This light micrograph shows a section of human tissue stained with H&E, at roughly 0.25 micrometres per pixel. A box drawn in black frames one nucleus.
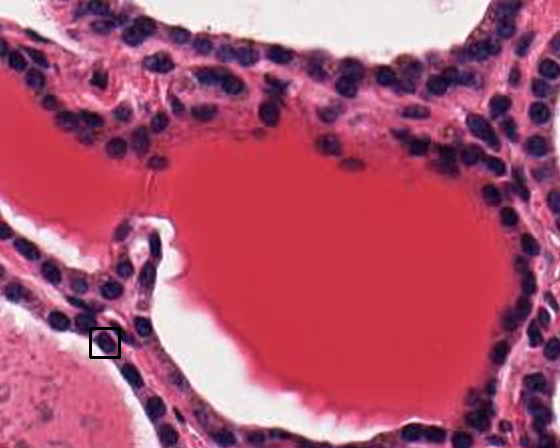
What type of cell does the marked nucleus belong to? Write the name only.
thyroid follicular cell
